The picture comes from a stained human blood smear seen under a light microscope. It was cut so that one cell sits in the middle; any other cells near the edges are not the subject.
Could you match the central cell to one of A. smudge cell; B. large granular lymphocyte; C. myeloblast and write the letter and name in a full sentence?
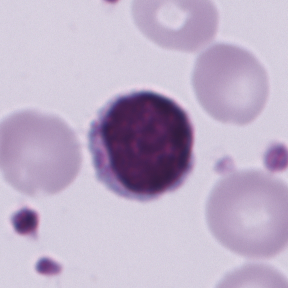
Option B correctly names the cell in the middle as a large granular lymphocyte.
